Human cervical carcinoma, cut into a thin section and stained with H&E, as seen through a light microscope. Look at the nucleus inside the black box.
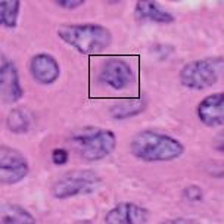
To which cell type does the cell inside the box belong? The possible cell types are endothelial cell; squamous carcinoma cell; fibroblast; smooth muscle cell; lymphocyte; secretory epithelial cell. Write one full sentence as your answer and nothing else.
As far as its identity is concerned, the cell inside the box is a squamous carcinoma cell.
